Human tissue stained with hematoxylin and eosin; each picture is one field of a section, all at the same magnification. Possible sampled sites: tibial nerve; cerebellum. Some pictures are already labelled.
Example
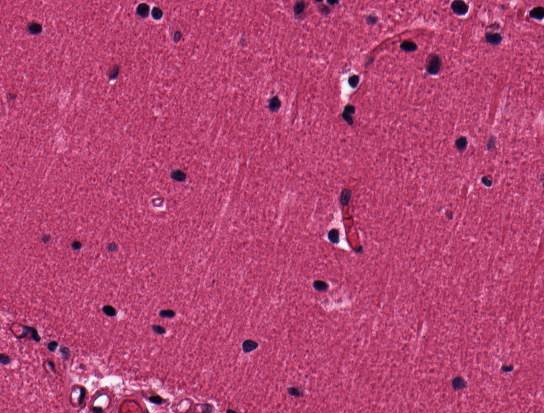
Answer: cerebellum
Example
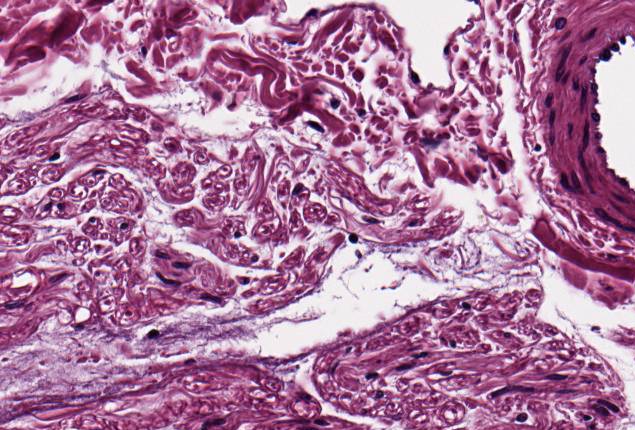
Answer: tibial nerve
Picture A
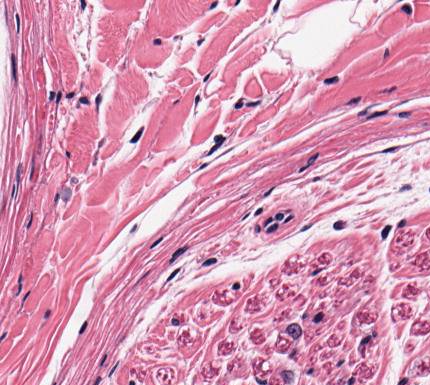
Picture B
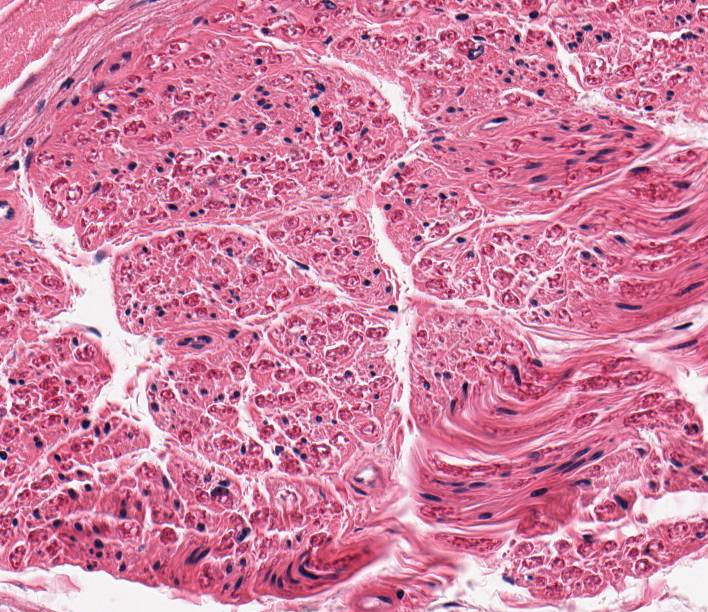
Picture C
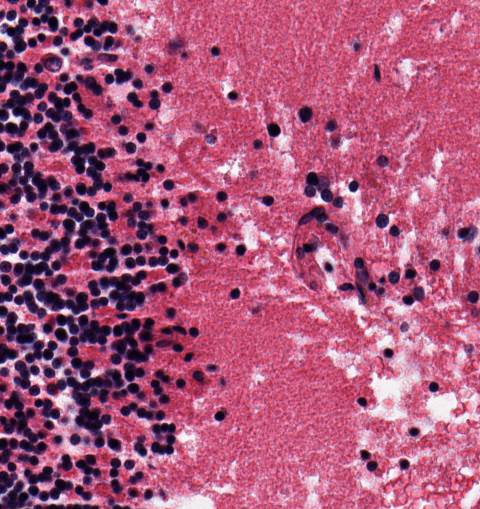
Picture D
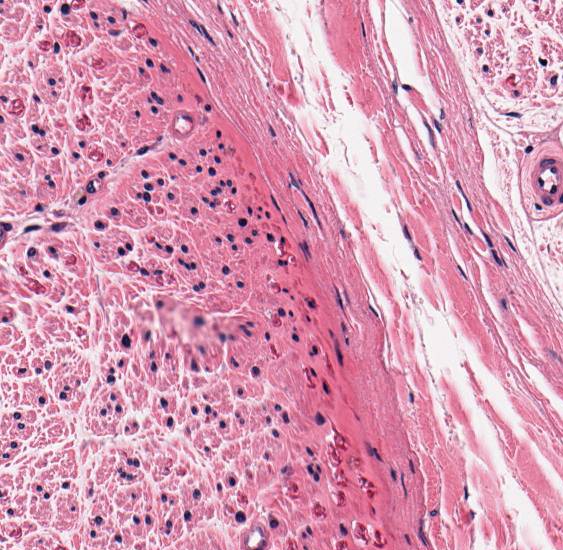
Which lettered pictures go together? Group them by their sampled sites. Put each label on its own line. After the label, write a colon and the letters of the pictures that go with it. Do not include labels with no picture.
tibial nerve: A, B, D
cerebellum: C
